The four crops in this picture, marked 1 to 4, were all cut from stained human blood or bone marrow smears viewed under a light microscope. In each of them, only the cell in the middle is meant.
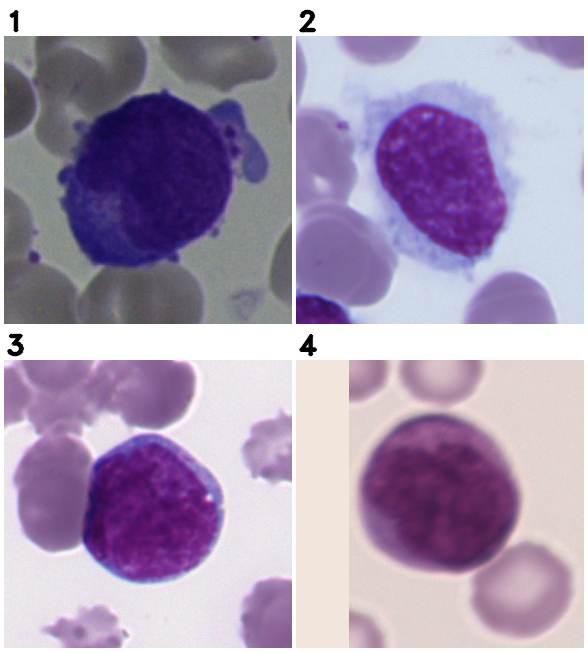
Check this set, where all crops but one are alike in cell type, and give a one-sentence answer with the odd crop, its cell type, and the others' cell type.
Excluding crop 2, which is a hairy cell, the crops all show blasts.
